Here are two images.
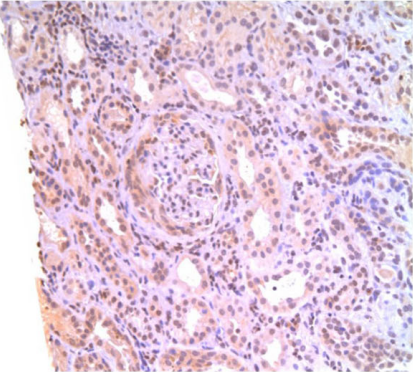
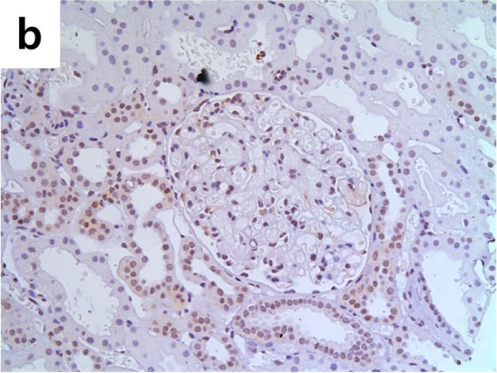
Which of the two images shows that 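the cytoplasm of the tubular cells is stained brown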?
The first image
